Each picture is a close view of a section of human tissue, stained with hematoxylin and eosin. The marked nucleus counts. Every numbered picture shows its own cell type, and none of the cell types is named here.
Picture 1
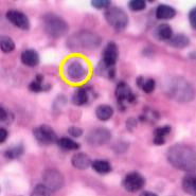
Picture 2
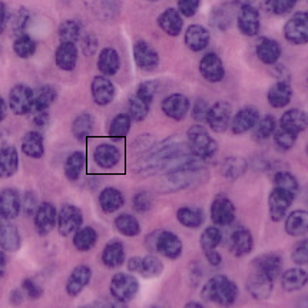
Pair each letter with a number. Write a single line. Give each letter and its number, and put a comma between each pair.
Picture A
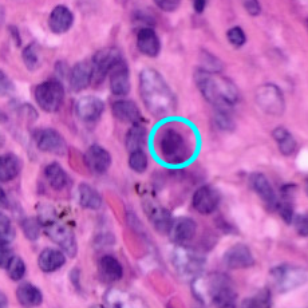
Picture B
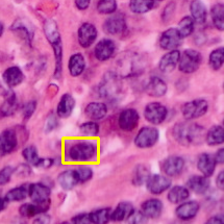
A 2, B 2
